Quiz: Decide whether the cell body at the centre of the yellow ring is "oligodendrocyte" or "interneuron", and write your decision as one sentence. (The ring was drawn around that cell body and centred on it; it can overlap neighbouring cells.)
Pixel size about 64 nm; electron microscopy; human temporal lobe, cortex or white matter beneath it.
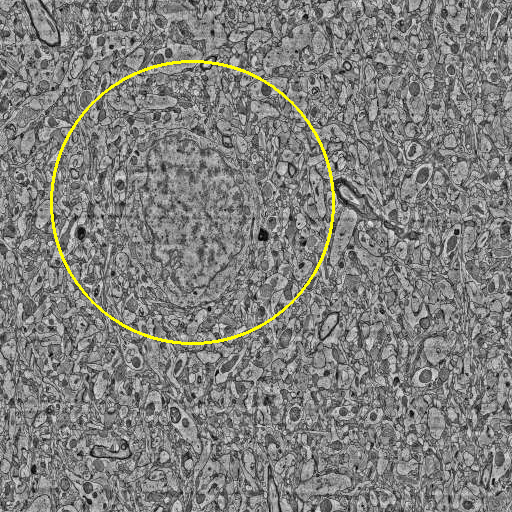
The cell the ring is centred on is an interneuron.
